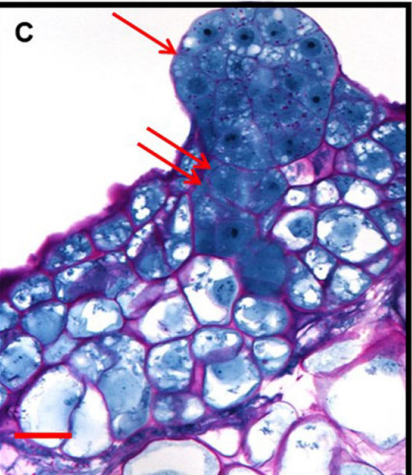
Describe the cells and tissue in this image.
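At the surface of this plant tissue a rounded knob of small cells with dense blue cytoplasm and prominent dark nucleoli bulges outward. Beneath it a narrow column of similar dense cells runs down into the tissue, while the surrounding cells are larger, vacuolated and bounded by pink-magenta walls. The rounded knob is an early globular pro-embryo, and the column of cells below it looks like a suspensor attaching it to the underlying tissue.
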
